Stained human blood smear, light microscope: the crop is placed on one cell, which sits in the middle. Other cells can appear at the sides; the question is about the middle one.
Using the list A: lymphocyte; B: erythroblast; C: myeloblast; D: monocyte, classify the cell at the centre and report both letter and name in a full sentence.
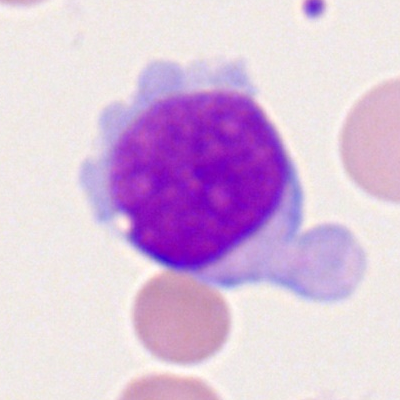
Option C is the right choice, the central cell being a myeloblast.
